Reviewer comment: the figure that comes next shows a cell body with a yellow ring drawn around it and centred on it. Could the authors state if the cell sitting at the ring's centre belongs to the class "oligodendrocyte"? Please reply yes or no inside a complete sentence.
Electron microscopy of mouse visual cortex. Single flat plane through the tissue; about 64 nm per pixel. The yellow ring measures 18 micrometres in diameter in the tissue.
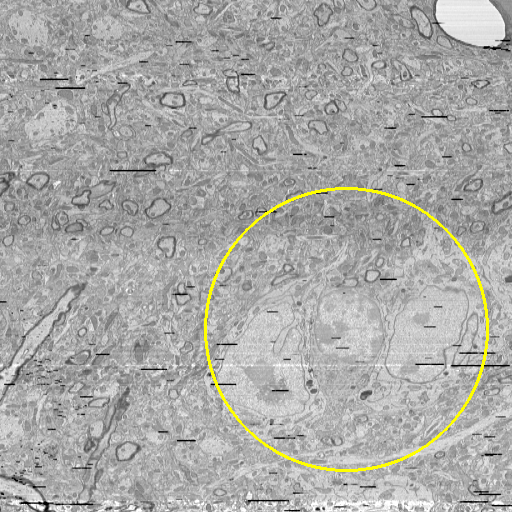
Yes, in the figure, the cell at the ring's centre belongs to that class.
